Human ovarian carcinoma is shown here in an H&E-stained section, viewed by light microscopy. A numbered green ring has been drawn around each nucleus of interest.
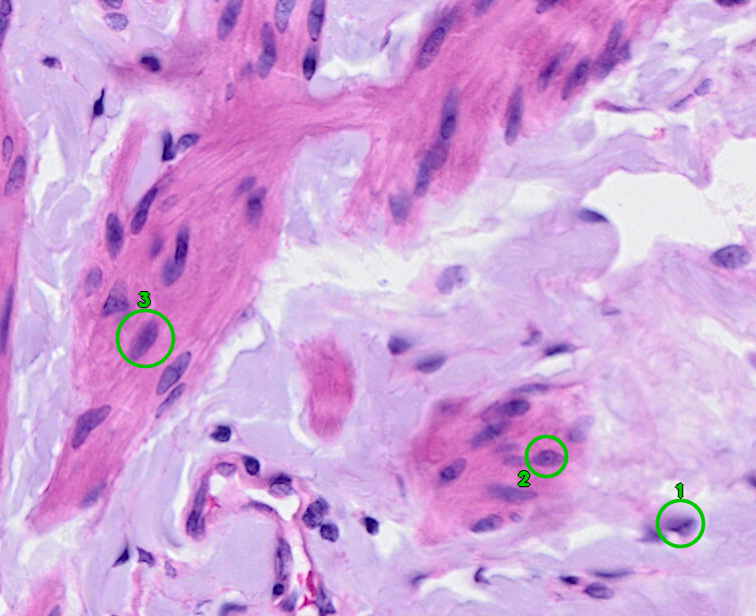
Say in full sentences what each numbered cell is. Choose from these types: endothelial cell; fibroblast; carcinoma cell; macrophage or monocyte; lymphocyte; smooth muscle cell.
Cell 1 is a fibroblast. Cells 2 and 3 are smooth muscle cells.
